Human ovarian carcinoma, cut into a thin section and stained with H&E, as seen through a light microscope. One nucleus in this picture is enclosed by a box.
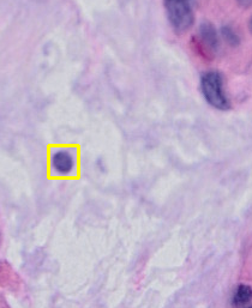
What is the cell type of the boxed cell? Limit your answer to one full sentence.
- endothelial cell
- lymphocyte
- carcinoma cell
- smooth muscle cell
Labelled by cell type, the boxed cell is a lymphocyte.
